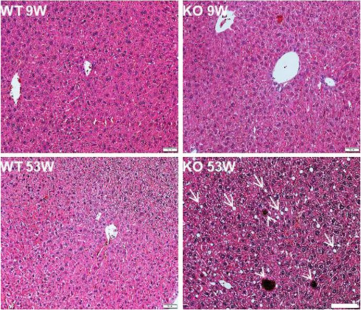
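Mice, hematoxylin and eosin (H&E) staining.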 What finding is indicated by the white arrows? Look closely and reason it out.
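The arrows point at small clear round spaces inside the cell cytoplasm. One section has many more such small clear spaces than the others. On this evidence: microvesicular steatosis.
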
